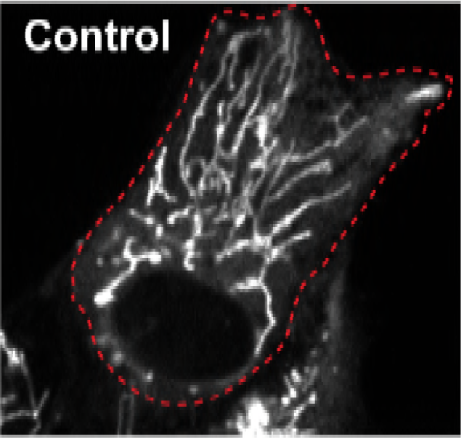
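This confocal image shows a single cultured cell whose mitochondria appear as bright white threads on a dark background. The mitochondria form long, thin, often branching tubules that run through the cytoplasm, many aligned lengthwise toward the pointed upper end of the cell. A dark, rounded, unstained area near the lower part of the cell marks the nucleus, with tubules curving around it. The network reaches well out toward the outlined cell border, so the cell periphery is populated with mitochondria. Parts of neighbouring cells with similar tubules are visible at the image corners.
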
